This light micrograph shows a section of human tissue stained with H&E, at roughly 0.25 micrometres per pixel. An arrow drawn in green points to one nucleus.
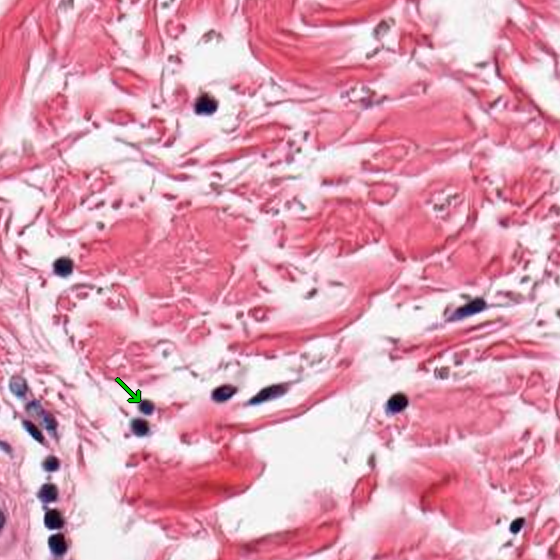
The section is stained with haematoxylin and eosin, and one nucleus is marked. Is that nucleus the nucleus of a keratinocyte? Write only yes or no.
no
